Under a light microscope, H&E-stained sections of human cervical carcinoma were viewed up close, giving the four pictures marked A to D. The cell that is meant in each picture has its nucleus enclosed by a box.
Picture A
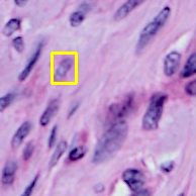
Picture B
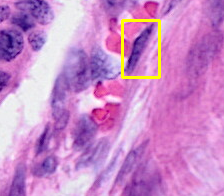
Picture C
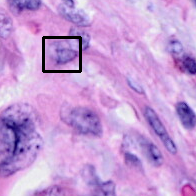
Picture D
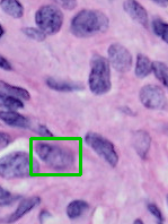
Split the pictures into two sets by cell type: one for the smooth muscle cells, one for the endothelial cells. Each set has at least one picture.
A: smooth muscle cell
B: endothelial cell
C: endothelial cell
D: endothelial cell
